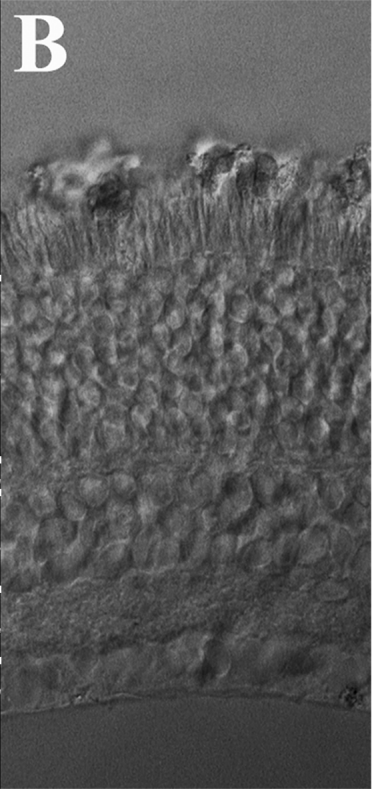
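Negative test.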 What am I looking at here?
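A vertical section through retina shows clear layering: at the top a palisade of slender, parallel photoreceptor outer segments, then a thick outer nuclear layer of many rows of small, closely packed rounded nuclei. A thin pale outer plexiform layer separates it from the inner nuclear layer, whose nuclei are somewhat larger and stacked a few rows deep. Below lies the finely granular inner plexiform layer, and at the bottom a single row of rounded cells forms the ganglion cell layer. The layers run evenly and parallel, with no gaps or disorganisation.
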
